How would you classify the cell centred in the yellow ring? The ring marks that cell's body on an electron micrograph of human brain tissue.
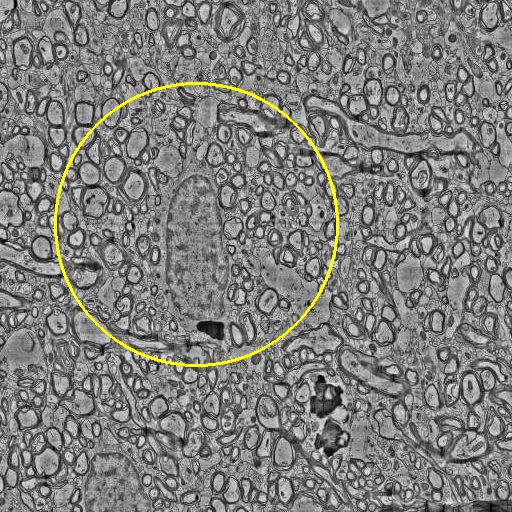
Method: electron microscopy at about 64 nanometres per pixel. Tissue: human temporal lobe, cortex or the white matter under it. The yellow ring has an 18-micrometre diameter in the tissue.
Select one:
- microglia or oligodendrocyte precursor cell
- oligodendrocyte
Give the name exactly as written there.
oligodendrocyte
